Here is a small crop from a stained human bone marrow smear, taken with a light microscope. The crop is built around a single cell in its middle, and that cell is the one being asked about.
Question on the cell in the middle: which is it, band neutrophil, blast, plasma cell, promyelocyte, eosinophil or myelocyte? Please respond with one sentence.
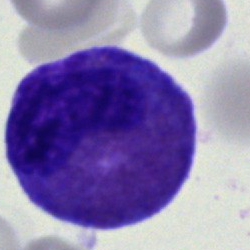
The middle of this crop holds an eosinophil.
